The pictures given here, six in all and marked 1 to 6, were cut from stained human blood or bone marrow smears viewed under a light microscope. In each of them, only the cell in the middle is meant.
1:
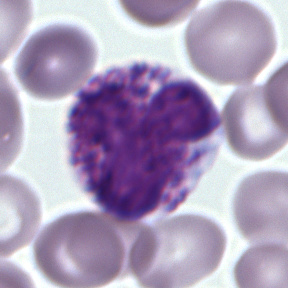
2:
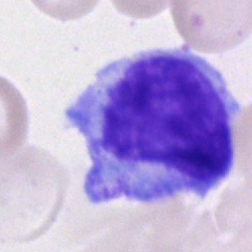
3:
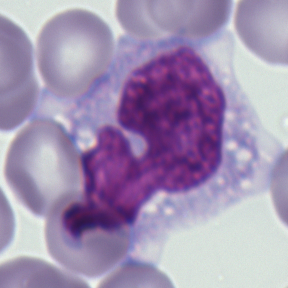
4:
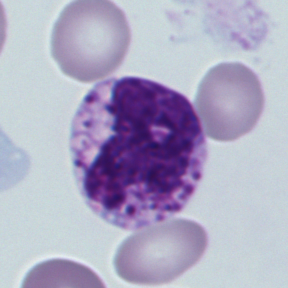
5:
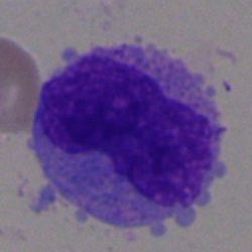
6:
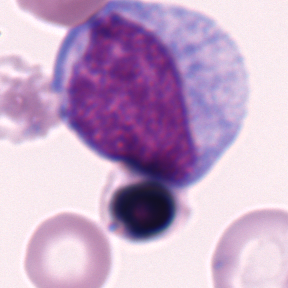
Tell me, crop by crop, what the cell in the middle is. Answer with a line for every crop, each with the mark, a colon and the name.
1: basophil
2: promyelocyte
3: monocyte
4: basophil
5: monocyte
6: promyelocyte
